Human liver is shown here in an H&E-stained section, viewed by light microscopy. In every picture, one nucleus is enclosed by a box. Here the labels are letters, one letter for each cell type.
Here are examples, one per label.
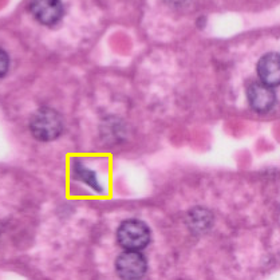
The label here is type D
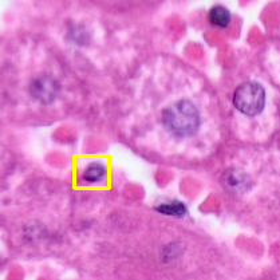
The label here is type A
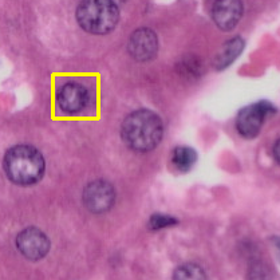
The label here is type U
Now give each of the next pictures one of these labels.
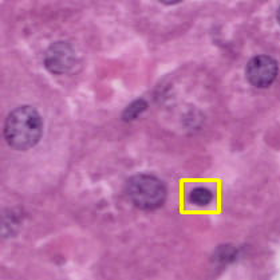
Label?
type A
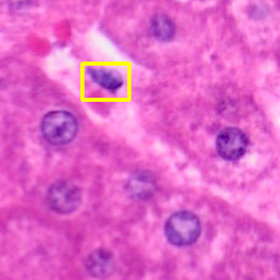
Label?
type D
